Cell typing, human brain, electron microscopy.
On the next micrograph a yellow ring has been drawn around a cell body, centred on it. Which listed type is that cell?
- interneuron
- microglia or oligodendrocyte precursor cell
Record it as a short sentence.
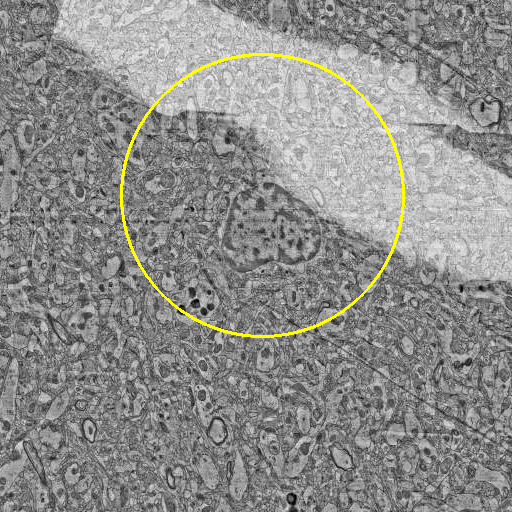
The cell body in the ring's centre belongs to a microglial cell or oligodendrocyte precursor cell.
